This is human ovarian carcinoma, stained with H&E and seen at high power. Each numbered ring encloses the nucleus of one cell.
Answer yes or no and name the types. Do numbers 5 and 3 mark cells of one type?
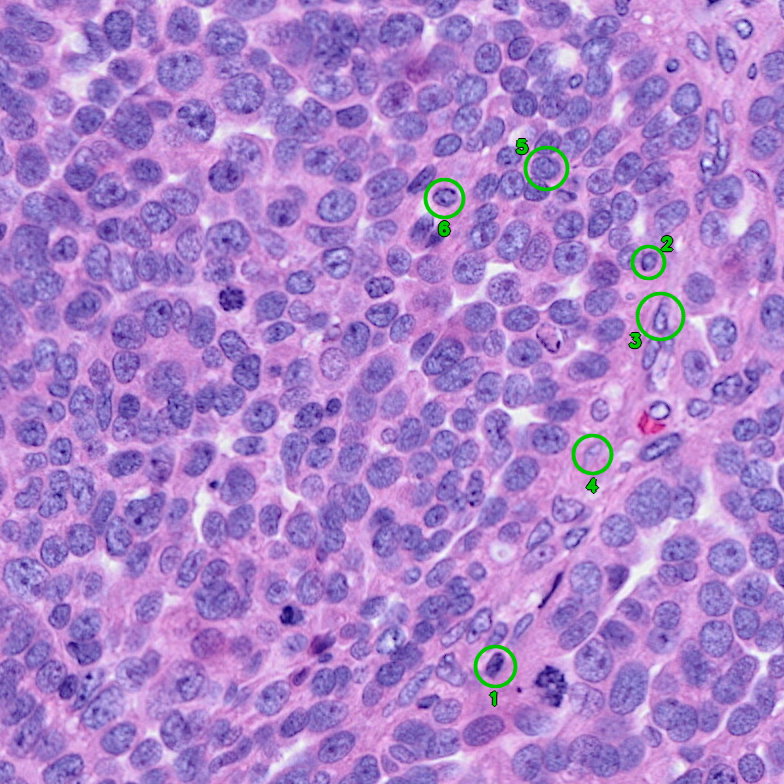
No, the right answer is a carcinoma cell for cell 5 and a fibroblast for cell 3.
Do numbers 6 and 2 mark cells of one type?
Yes, each of the two cells, 6 and 2, is among the macrophages or monocytes.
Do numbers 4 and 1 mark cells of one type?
No, the cell labelled 4 is a fibroblast; the cell labelled 1 is a lymphocyte.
